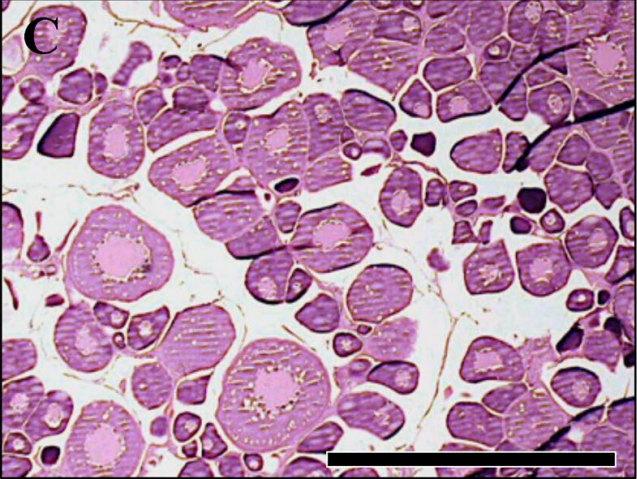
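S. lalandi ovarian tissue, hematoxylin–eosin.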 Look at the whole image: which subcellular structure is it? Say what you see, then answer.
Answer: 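Larger oocytes show a ring of small granules around the pale nucleus. Smaller purple oocytes lie between them. That points to this answer: cortical alveolar granules.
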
